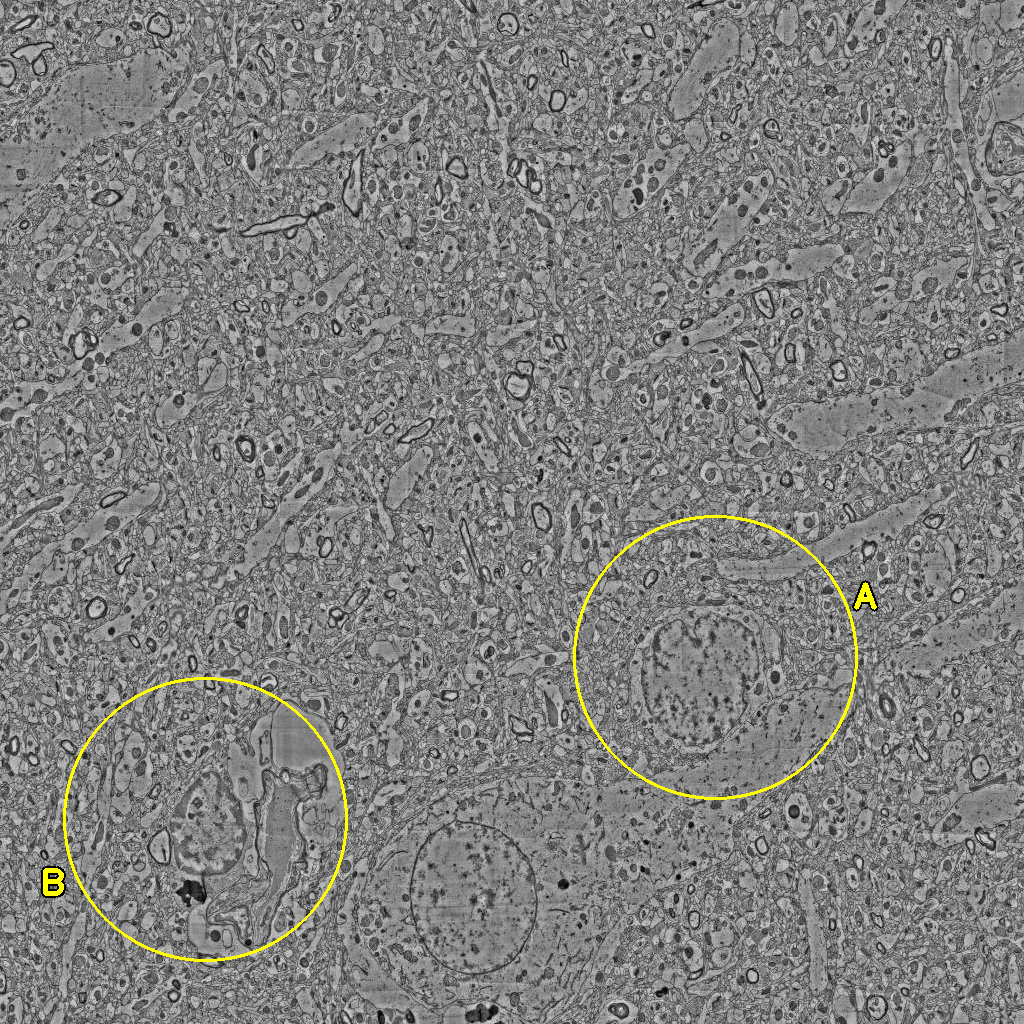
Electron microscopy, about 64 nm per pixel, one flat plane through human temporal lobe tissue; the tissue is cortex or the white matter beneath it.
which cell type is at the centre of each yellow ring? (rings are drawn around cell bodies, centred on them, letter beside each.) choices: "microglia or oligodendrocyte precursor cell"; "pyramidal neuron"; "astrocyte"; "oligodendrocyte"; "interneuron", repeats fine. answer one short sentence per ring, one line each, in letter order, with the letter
Ring A is an interneuron.
Ring B is an oligodendrocyte.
